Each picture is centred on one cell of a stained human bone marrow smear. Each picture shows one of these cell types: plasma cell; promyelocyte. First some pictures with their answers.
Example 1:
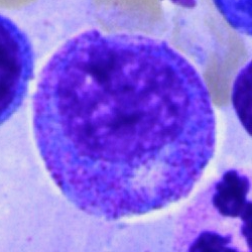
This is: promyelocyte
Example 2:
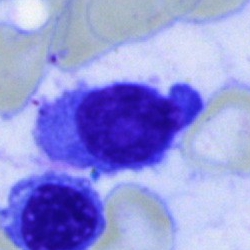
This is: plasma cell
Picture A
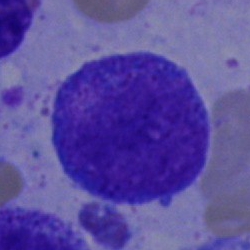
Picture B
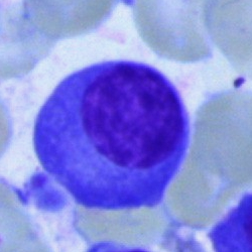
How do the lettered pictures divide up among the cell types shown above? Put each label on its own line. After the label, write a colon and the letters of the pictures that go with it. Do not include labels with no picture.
plasma cell: B
promyelocyte: A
